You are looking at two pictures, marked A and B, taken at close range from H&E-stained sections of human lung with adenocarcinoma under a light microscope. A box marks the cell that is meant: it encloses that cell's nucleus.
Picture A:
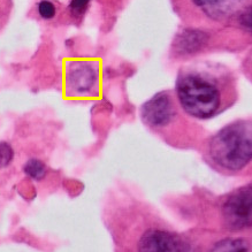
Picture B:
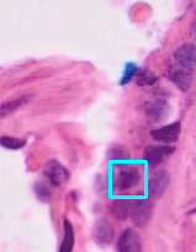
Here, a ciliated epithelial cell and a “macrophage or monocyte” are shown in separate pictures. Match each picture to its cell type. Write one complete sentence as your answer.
It is picture A that shows a “macrophage or monocyte”, and picture B that shows a ciliated epithelial cell.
